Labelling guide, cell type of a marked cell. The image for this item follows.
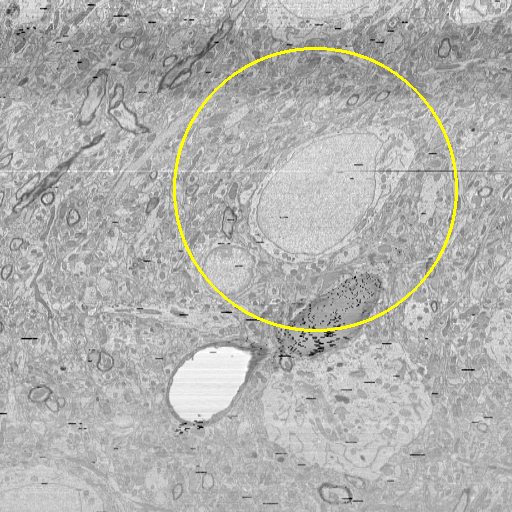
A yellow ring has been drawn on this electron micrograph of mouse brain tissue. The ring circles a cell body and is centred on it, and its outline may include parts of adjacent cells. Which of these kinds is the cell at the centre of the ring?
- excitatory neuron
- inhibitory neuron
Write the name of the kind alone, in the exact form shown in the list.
inhibitory neuron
